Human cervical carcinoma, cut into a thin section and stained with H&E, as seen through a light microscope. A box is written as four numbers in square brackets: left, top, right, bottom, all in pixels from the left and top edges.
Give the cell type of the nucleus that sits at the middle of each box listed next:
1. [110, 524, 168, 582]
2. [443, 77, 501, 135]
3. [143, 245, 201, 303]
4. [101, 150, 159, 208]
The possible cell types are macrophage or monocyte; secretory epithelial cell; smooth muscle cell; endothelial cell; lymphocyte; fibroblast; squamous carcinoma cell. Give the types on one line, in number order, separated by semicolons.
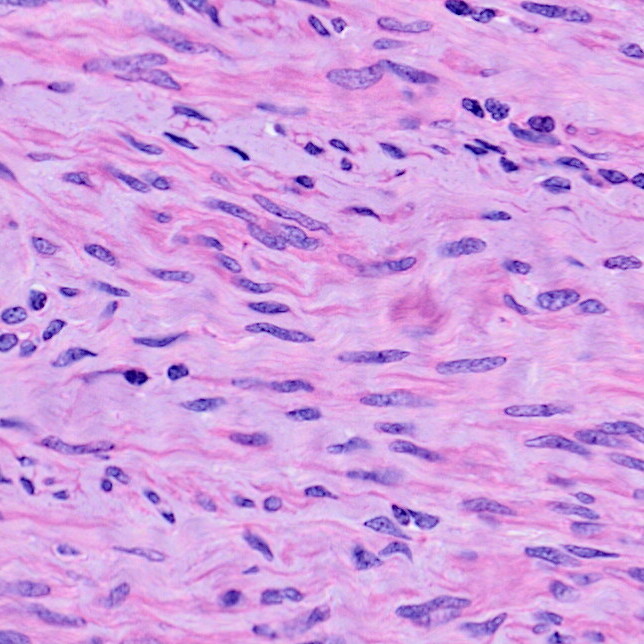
fibroblast; lymphocyte; smooth muscle cell; smooth muscle cell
